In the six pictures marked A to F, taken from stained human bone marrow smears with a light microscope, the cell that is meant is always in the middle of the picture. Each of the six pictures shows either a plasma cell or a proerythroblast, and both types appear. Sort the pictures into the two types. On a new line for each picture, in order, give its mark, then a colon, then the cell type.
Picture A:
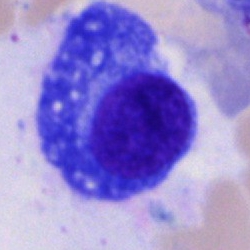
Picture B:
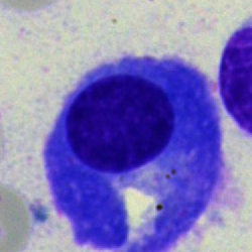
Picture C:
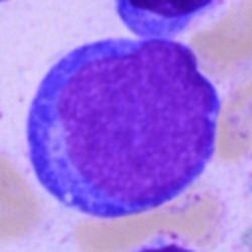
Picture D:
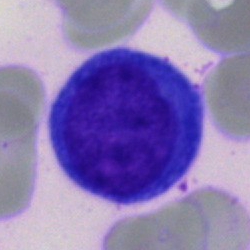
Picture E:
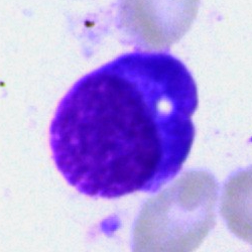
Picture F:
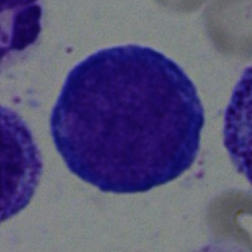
A: plasma cell
B: plasma cell
C: proerythroblast
D: proerythroblast
E: plasma cell
F: proerythroblast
